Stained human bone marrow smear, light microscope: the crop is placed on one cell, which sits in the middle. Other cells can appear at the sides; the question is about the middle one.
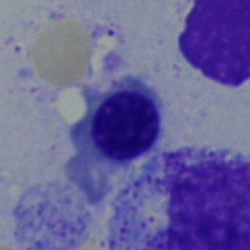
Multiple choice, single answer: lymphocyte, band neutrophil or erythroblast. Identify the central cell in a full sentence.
In the middle of this smear crop is an erythroblast.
